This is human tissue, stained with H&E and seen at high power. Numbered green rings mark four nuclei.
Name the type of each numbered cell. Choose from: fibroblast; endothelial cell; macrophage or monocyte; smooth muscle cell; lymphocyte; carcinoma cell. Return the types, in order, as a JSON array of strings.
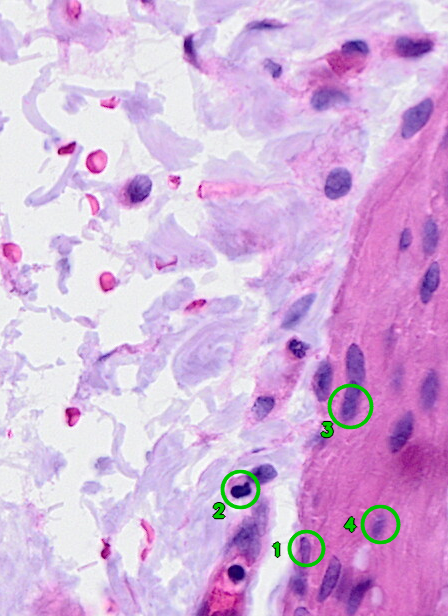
["smooth muscle cell", "lymphocyte", "smooth muscle cell", "smooth muscle cell"]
